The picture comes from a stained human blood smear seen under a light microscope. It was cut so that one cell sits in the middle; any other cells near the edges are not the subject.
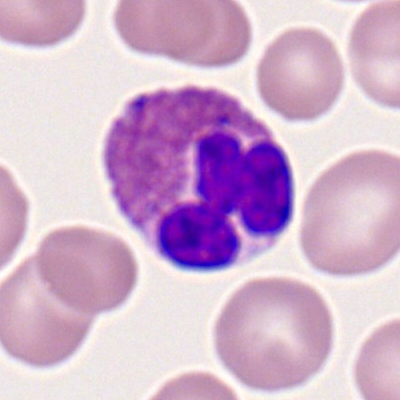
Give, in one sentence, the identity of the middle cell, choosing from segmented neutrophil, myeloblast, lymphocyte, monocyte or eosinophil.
What sits at the centre of this crop is an eosinophil.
